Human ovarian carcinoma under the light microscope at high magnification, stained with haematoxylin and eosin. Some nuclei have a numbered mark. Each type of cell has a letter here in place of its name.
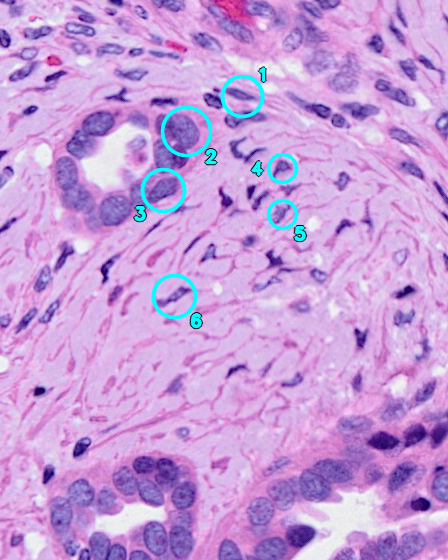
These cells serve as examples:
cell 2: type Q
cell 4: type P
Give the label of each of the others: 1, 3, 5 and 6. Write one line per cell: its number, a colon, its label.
1: type P
3: type Q
5: type P
6: type P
